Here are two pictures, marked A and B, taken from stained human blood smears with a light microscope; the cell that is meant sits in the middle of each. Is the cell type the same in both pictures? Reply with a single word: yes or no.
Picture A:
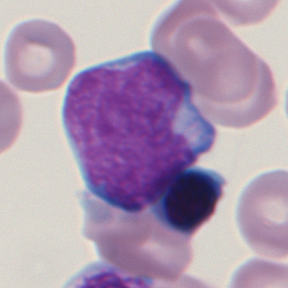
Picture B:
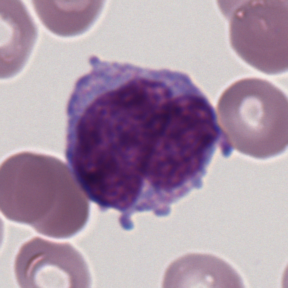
no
